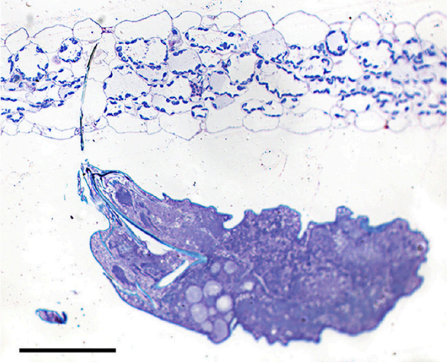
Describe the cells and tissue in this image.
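A leaf in cross section lies across the top, with a mite attached beneath it. The leaf shows a thin upper and lower epidermis of large, clear, thin-walled cells, with loosely packed mesophyll cells between them carrying many small dark blue chloroplasts along their walls and wide air spaces in between. Below the leaf, the mite body is a large, densely stained purple mass with granular contents and several pale round inclusions. From the pointed front end of the mite, a long, thin, dark needle-like stylet passes upward through the lower epidermis and reaches into the mesophyll.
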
